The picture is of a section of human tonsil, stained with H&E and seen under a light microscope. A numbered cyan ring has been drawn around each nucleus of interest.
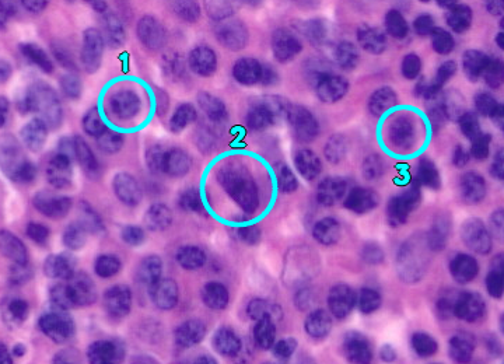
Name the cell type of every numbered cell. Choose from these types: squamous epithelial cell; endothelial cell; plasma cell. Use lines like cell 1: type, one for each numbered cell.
cell 1: plasma cell
cell 2: squamous epithelial cell
cell 3: plasma cell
